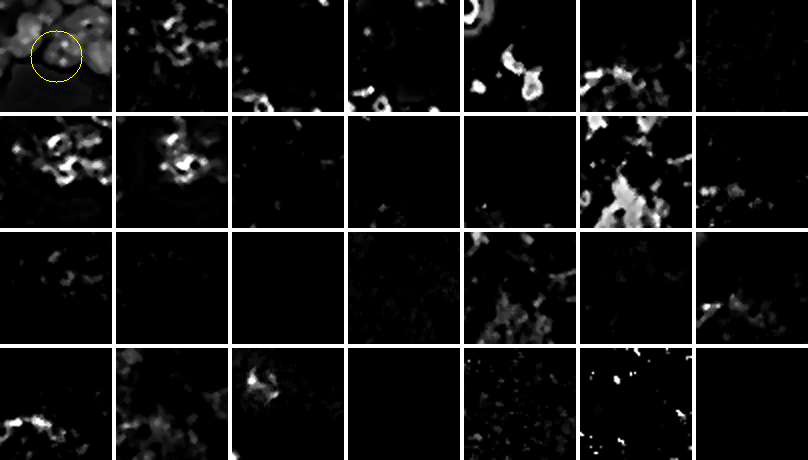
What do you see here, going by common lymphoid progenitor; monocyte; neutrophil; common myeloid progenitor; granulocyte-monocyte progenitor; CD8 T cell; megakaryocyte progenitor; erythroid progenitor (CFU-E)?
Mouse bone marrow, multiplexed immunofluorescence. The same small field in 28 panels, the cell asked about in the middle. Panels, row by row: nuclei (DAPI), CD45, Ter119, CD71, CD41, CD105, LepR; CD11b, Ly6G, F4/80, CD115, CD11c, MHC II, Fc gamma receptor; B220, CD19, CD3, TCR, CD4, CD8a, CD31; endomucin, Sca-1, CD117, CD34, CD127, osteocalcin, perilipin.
I see a neutrophil.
